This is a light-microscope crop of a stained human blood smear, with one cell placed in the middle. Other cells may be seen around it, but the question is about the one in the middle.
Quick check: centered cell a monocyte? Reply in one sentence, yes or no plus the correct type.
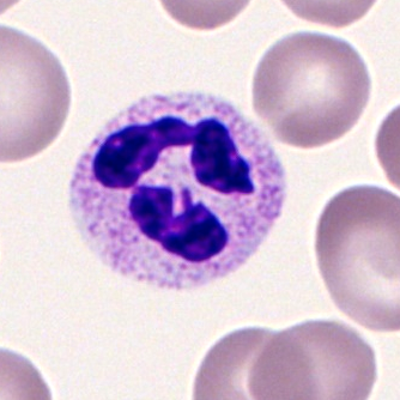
No, the middle cell is classified as a neutrophil and not as a monocyte.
